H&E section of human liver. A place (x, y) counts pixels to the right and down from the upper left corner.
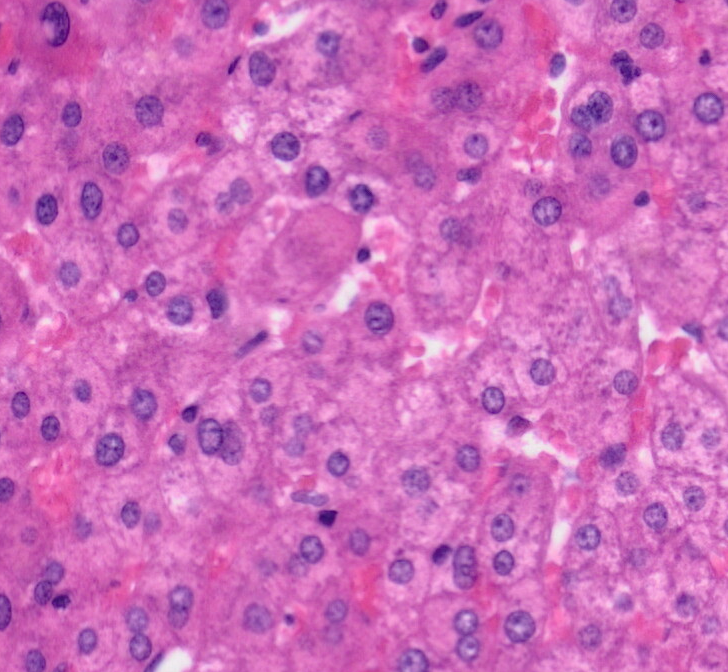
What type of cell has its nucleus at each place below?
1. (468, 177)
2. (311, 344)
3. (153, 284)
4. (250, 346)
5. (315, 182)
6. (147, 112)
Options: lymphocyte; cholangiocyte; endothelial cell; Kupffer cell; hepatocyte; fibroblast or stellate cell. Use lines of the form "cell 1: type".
cell 1: endothelial cell
cell 2: hepatocyte
cell 3: hepatocyte
cell 4: Kupffer cell
cell 5: hepatocyte
cell 6: hepatocyte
